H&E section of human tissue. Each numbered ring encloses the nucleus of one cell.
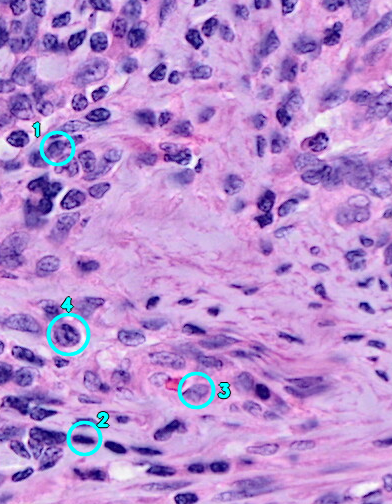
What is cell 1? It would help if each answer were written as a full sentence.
Within this field of view, the cell labelled 1 is a lymphocyte.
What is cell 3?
The nucleus with number 3 is that of an endothelial cell.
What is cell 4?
The cell indicated with the number 4 is classed as a lymphocyte.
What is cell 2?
The nucleus marked 2 is the nucleus of a lymphocyte.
